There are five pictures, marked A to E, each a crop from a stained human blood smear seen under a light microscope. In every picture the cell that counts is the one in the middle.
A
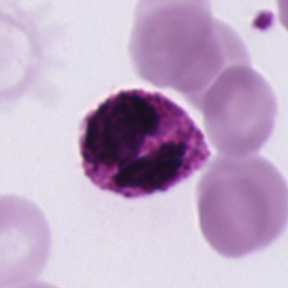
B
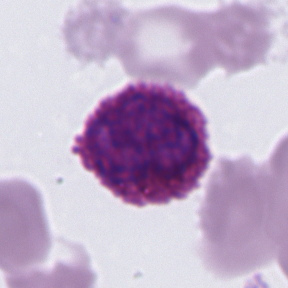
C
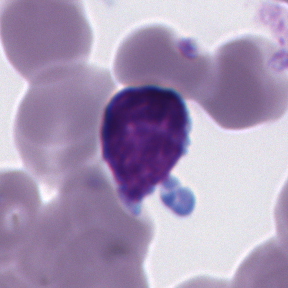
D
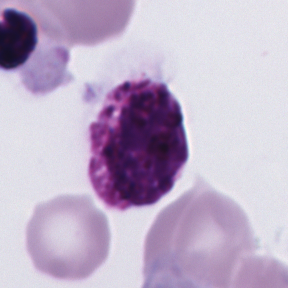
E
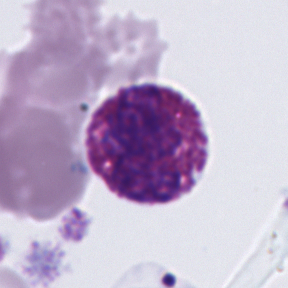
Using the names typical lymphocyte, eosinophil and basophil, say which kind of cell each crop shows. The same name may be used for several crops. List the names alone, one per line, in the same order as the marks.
basophil
eosinophil
typical lymphocyte
basophil
eosinophil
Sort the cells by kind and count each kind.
basophil: 2
eosinophil: 2
typical lymphocyte: 1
